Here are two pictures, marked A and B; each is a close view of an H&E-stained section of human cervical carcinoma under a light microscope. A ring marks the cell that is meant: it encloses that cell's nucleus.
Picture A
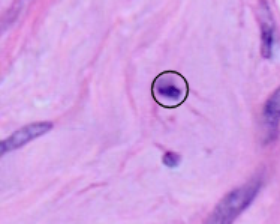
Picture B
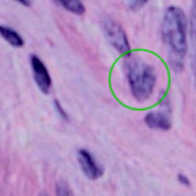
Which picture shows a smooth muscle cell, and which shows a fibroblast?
A: fibroblast
B: smooth muscle cell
